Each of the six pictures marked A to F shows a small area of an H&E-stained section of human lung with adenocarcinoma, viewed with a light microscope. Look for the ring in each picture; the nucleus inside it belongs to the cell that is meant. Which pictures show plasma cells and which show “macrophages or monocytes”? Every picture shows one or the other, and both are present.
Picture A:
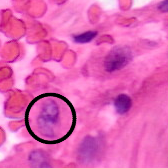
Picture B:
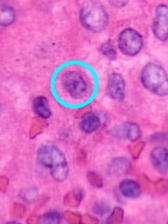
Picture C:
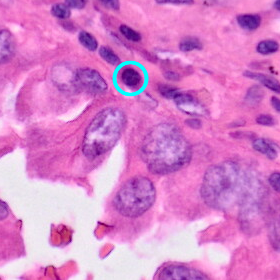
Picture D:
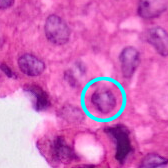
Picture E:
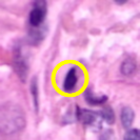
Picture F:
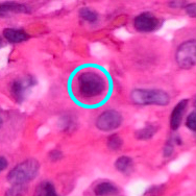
A: macrophage or monocyte
B: macrophage or monocyte
C: plasma cell
D: macrophage or monocyte
E: plasma cell
F: macrophage or monocyte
